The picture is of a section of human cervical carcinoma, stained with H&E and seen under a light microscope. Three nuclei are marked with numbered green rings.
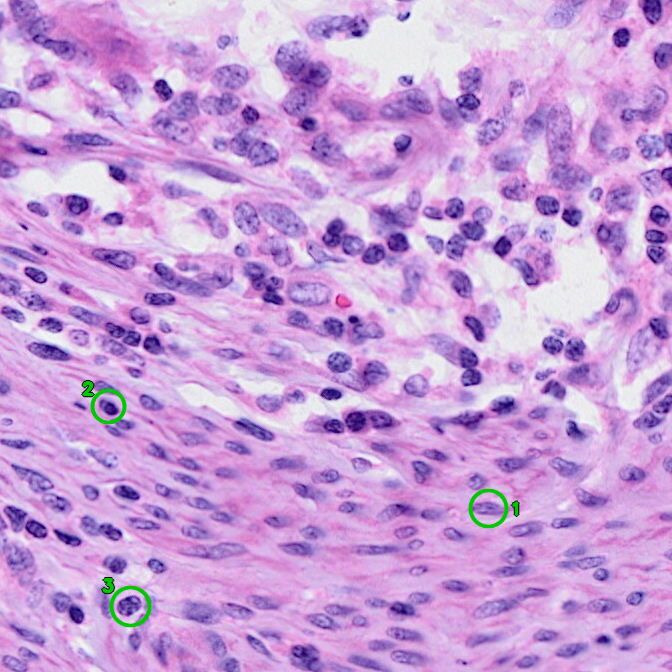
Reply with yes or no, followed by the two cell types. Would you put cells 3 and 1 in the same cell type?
No, cell 3 is a lymphocyte, while a smooth muscle cell is what cell 1 is.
